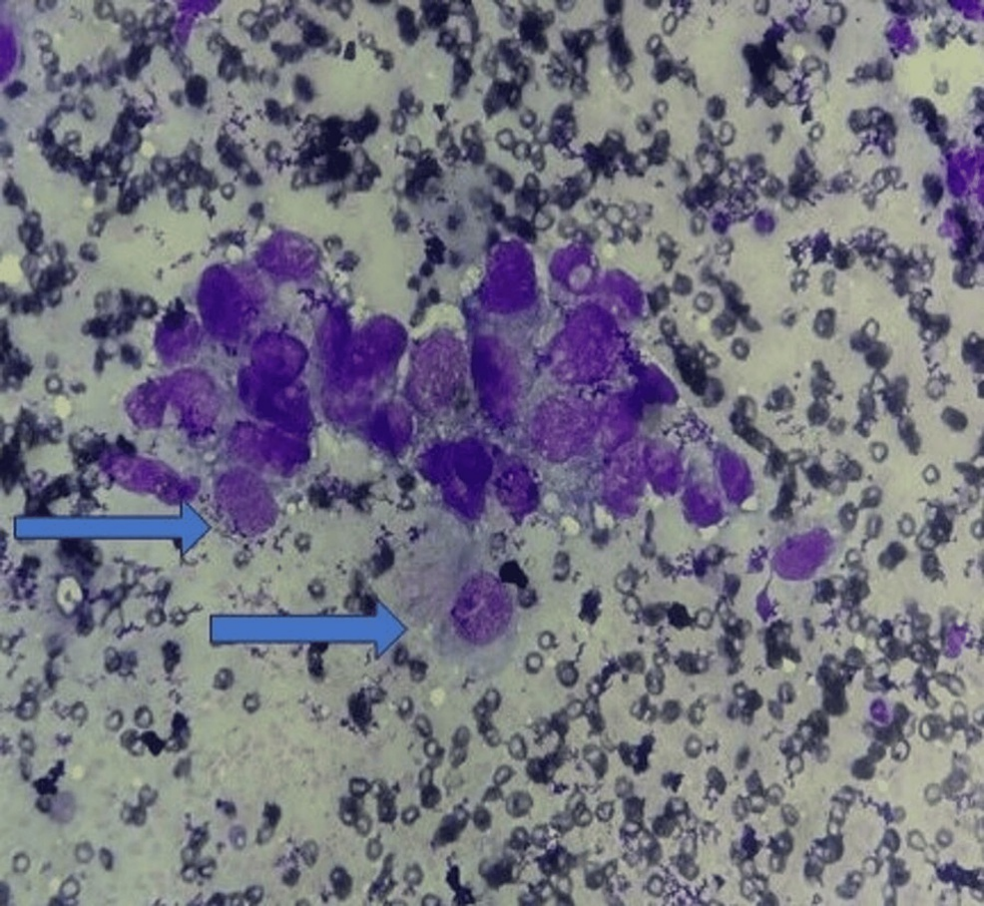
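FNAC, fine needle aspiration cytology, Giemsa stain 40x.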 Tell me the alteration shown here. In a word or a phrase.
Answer: Ovoid nuclei with irregular nuclear border, clumped chromatin.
